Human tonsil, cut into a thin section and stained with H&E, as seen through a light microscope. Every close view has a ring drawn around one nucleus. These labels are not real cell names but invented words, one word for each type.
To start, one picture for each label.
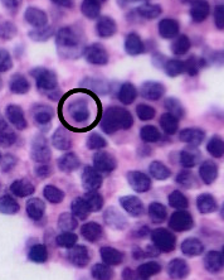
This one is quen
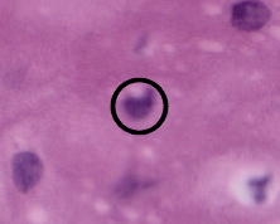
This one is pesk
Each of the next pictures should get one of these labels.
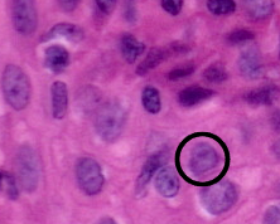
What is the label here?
pesk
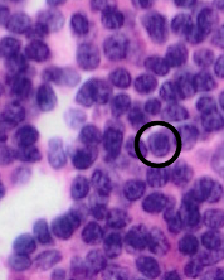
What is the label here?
quen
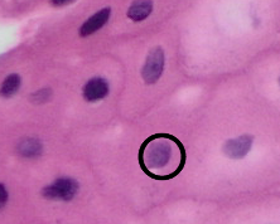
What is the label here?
pesk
